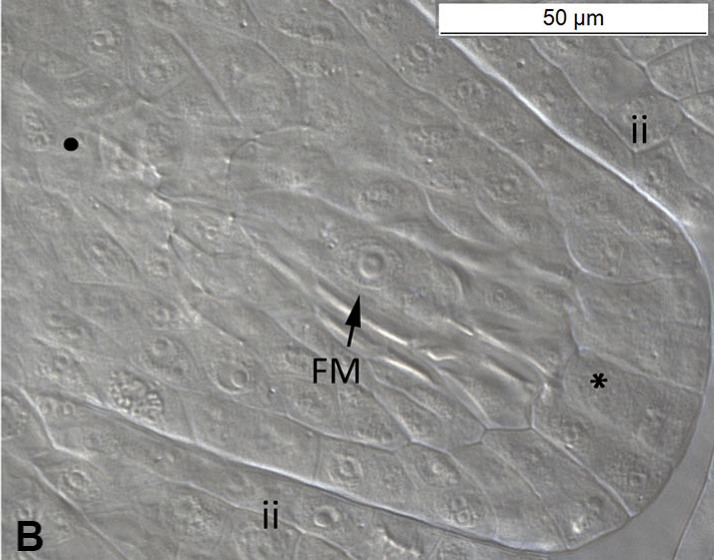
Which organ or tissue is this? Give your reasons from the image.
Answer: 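A rounded, finger-like organ is made of many small cells with clear nuclei. Cell layers run along its outer edge, around an inner file of cells. The answer: ovule.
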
